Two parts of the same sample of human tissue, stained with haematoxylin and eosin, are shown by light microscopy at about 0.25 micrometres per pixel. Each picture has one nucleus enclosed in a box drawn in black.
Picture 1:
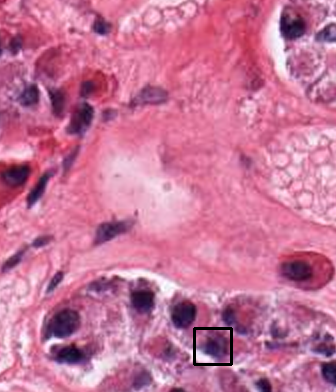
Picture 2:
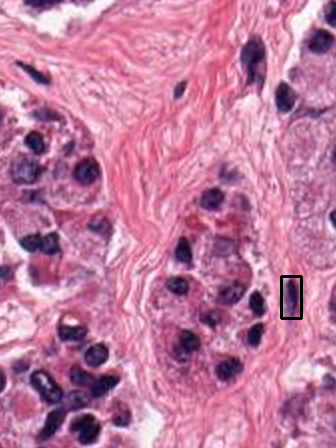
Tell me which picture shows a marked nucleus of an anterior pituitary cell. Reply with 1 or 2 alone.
1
